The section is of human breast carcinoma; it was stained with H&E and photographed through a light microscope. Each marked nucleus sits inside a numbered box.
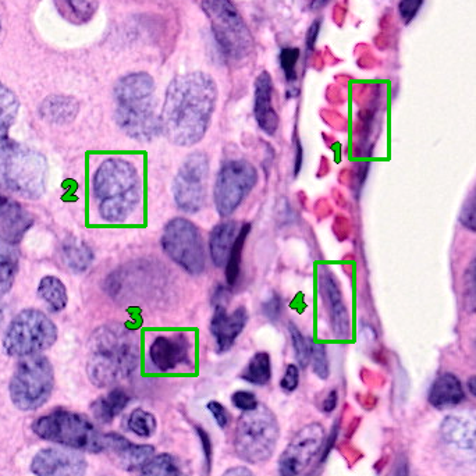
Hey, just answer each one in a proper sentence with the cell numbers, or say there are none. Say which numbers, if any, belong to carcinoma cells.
The cells bearing the numbers 2 and 3 are carcinoma cells.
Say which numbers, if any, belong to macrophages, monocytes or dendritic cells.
None among the numbered cells are macrophages, monocytes or dendritic cells.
